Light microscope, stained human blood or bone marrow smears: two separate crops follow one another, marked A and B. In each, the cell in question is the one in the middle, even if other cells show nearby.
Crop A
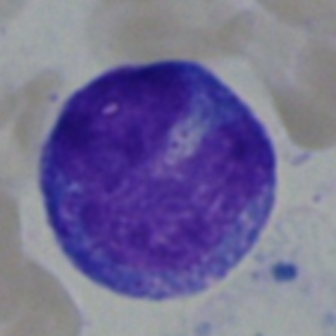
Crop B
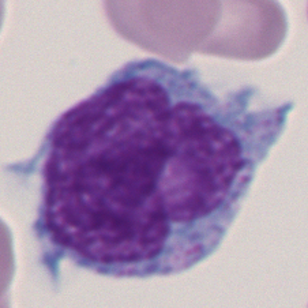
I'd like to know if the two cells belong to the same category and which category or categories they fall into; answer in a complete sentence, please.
Yes, the centre cells of both crops are monocytes.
